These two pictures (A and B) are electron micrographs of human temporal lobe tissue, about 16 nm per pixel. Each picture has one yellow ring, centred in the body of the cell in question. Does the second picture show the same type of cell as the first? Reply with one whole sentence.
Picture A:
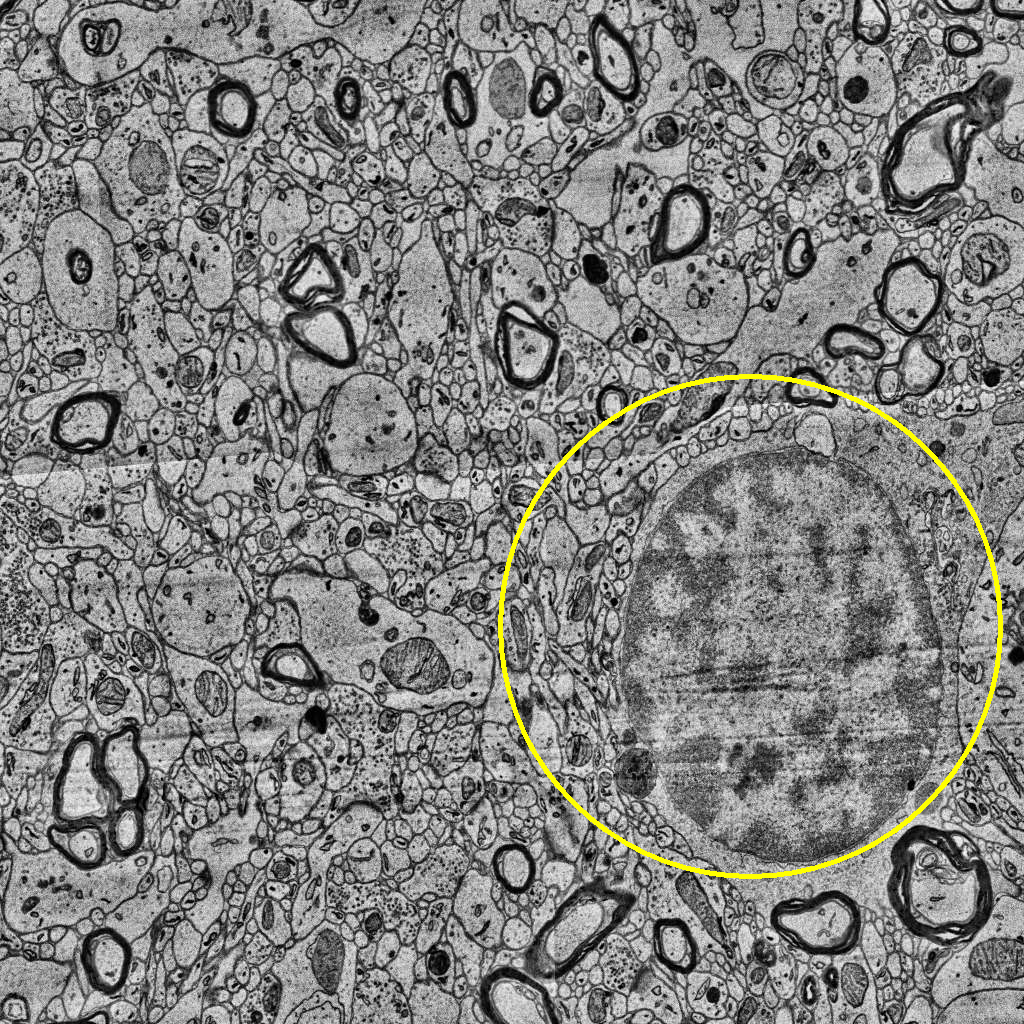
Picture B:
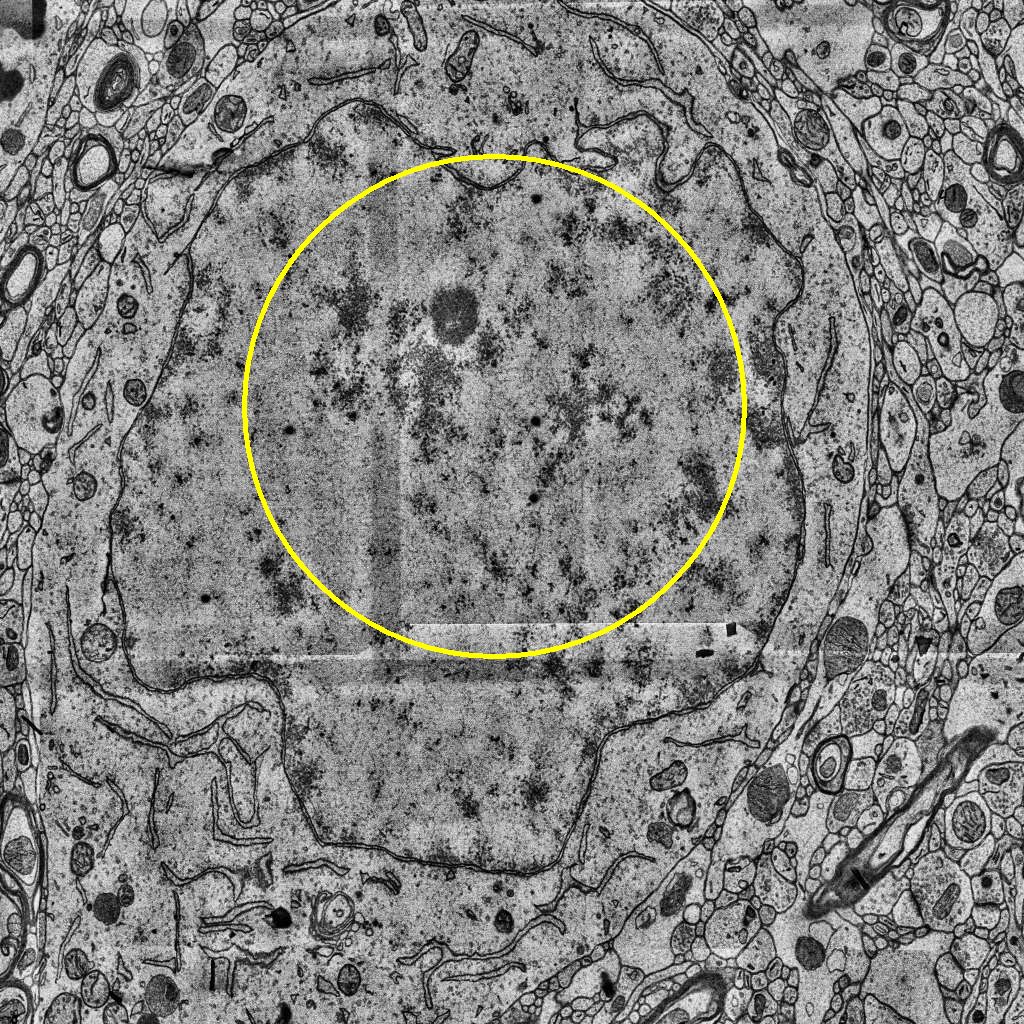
No, picture A shows an oligodendrocyte and picture B shows an interneuron.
